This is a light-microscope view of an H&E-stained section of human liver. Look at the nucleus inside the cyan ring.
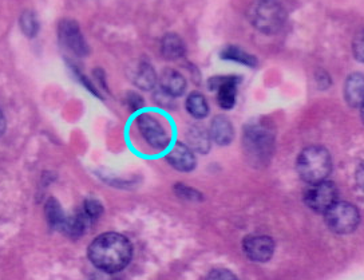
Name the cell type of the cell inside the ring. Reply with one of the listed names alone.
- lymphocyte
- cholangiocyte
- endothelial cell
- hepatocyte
cholangiocyte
